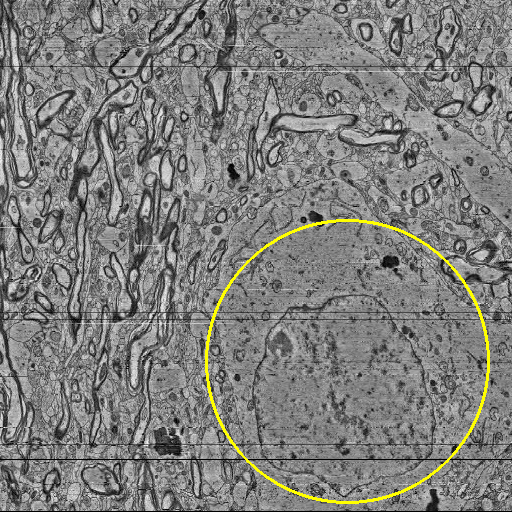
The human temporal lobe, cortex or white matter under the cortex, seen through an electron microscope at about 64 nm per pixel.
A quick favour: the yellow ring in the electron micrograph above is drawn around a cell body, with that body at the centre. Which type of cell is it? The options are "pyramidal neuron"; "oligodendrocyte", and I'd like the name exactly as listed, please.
pyramidal neuron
